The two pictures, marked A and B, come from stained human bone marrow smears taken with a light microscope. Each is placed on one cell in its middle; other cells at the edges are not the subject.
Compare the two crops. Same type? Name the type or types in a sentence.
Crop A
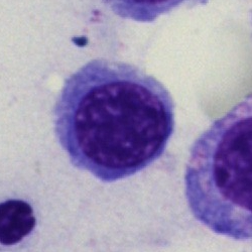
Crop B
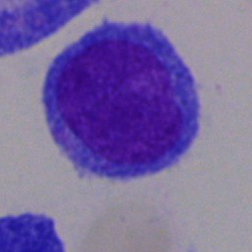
No, the cell at the middle of crop A is an erythroblast, while crop B centres on a blast.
